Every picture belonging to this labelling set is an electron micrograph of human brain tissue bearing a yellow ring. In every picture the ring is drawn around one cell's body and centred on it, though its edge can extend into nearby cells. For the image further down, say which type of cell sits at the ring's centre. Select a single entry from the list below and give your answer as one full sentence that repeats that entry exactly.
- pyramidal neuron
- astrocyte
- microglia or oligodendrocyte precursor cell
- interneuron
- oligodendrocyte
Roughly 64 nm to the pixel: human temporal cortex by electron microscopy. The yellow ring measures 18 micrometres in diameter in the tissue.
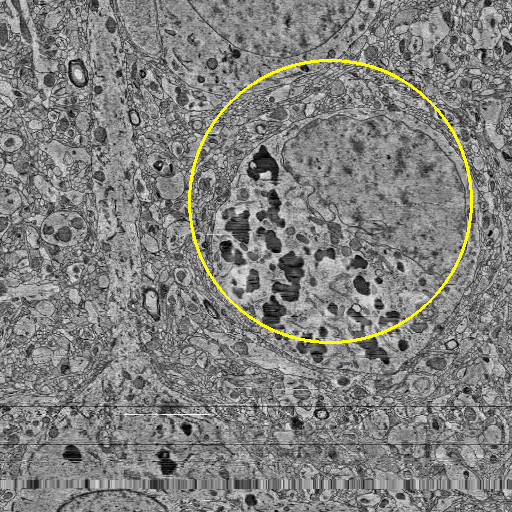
In the picture, an interneuron is the cell at the centre of the yellow ring.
